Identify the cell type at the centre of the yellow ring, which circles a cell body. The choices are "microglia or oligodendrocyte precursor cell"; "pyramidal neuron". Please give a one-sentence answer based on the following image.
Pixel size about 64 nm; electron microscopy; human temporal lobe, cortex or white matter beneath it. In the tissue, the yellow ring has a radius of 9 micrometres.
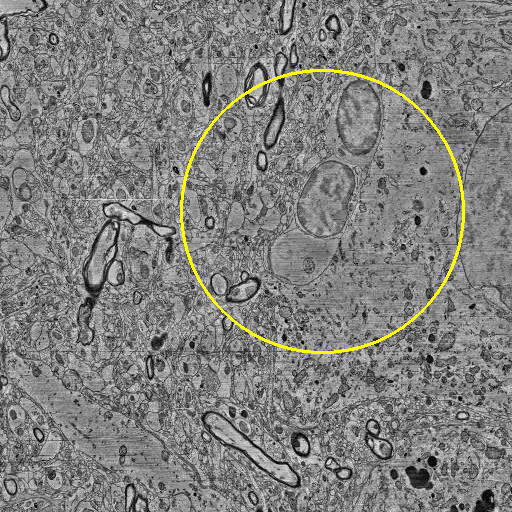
The cell marked by the ring is a microglial cell or oligodendrocyte precursor cell.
